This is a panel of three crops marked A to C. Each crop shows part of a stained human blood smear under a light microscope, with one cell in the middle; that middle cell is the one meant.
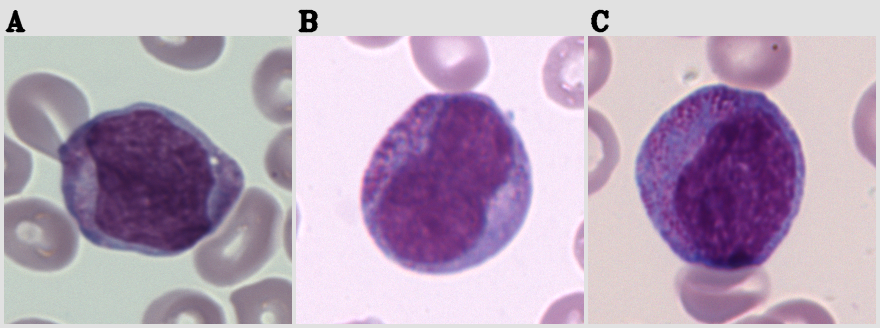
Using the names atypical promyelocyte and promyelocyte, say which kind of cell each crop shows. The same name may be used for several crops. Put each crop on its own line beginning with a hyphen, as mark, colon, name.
- A: atypical promyelocyte
- B: promyelocyte
- C: promyelocyte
